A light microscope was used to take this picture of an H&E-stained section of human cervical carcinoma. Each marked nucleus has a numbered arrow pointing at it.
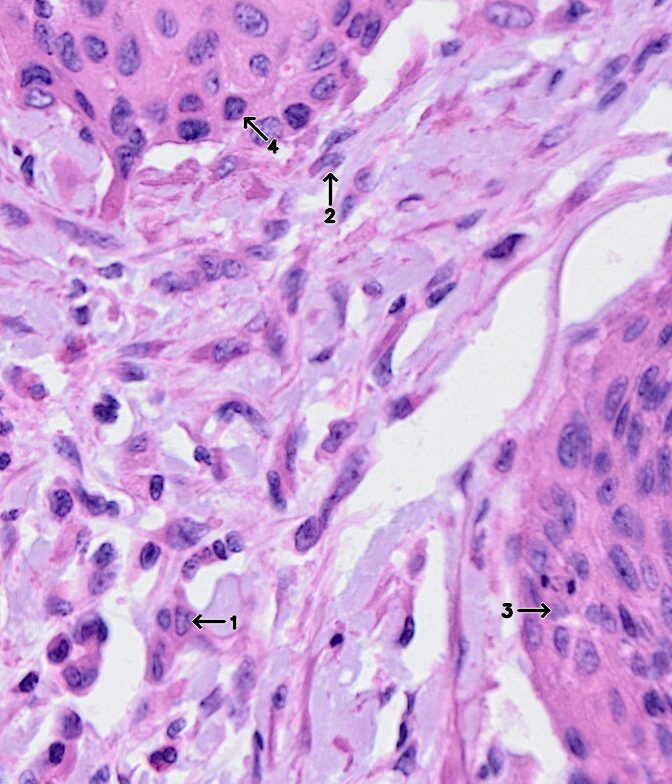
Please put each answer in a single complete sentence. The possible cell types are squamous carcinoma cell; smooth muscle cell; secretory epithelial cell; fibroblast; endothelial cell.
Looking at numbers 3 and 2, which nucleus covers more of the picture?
Of the two, number 2 is bigger and takes up about 1.5 times the area of number 3.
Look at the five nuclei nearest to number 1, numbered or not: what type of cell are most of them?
Of the five nuclei nearest to number 1, most belong to endothelial cells.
